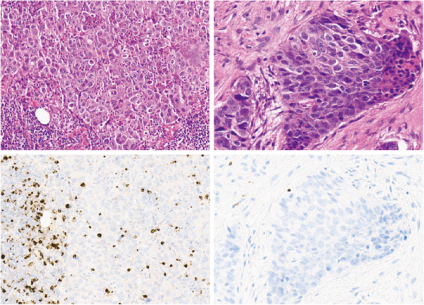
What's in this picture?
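In the upper left, sheets of large tumor cells with large, irregular, pale nuclei and pink cytoplasm crowd together, and at the lower left edge a dense band of small cells with dark round nuclei lies beside them. In the upper right, a compact nest of tumor cells with large nuclei sits within pink, fibrous stroma.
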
